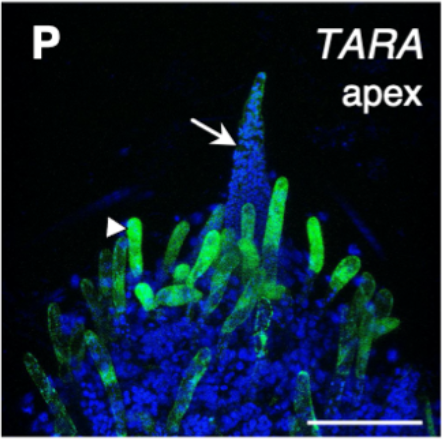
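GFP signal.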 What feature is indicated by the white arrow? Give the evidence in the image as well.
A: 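Emerging leaves. A narrow, tapering pointed structure rises above the surrounding hairs. It is made of many small densely packed cells.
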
